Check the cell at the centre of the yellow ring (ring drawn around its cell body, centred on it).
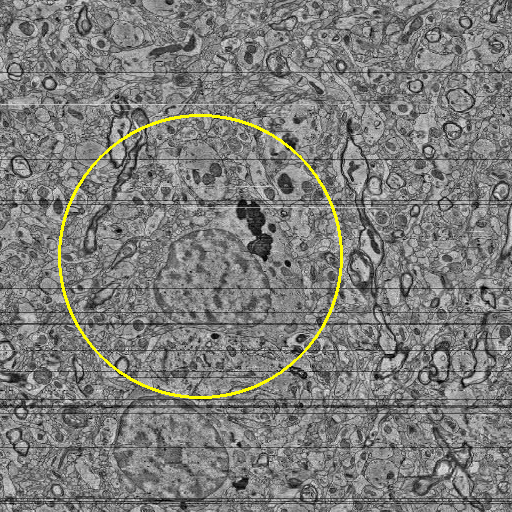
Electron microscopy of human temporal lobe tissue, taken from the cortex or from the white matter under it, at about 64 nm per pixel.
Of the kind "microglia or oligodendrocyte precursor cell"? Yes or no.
no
